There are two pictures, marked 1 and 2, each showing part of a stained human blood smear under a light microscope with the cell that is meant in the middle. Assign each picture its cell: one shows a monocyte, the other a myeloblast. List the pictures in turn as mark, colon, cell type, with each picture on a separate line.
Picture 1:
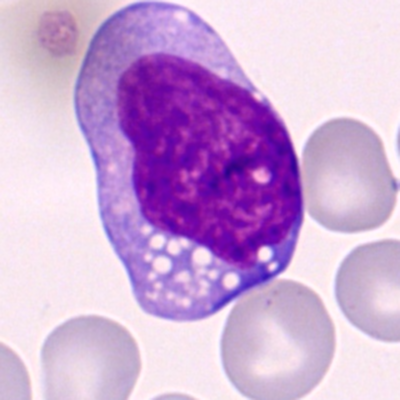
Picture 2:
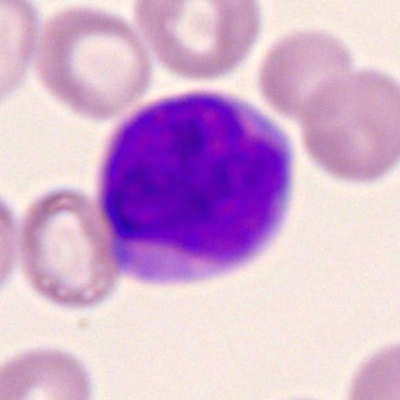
1: monocyte
2: myeloblast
